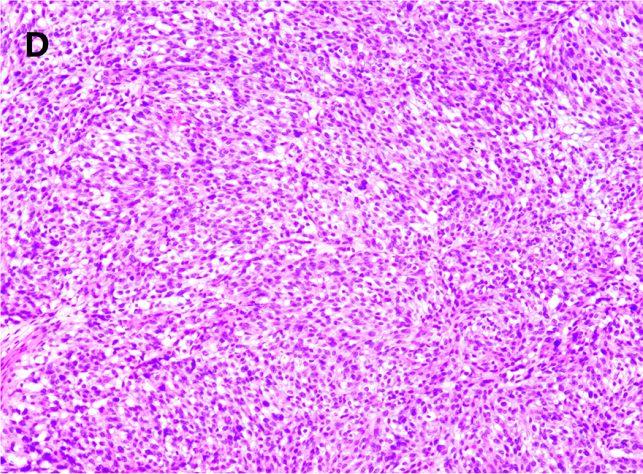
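This is a densely cellular tumor made almost entirely of spindle-shaped cells. The cells lie packed in sheets and short fascicles that run in different directions, and in places they sweep and swirl. Their nuclei are elongated to oval and stain deep purple, and they crowd closely together with little space between them. Around each nucleus there is only a modest amount of pale pink cytoplasm, and the borders between neighbouring cells are hard to make out.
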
